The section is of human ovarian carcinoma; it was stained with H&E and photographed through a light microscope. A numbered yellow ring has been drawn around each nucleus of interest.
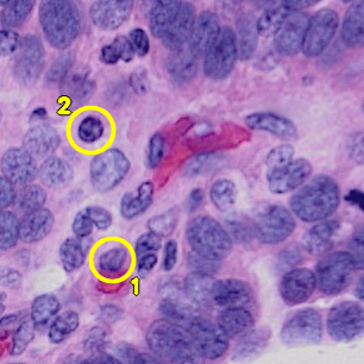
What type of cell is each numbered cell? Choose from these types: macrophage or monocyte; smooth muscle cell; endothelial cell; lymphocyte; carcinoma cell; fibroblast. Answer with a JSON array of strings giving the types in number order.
["endothelial cell", "lymphocyte"]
